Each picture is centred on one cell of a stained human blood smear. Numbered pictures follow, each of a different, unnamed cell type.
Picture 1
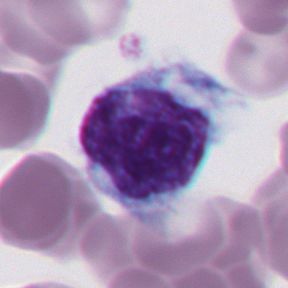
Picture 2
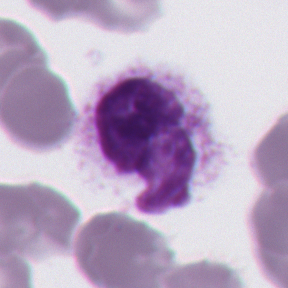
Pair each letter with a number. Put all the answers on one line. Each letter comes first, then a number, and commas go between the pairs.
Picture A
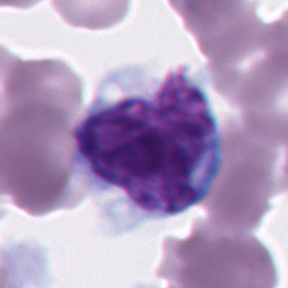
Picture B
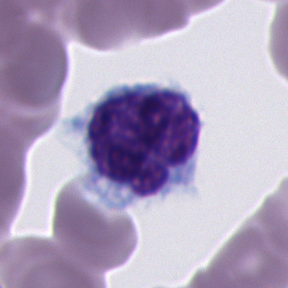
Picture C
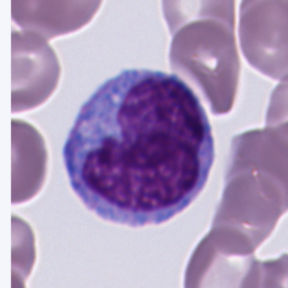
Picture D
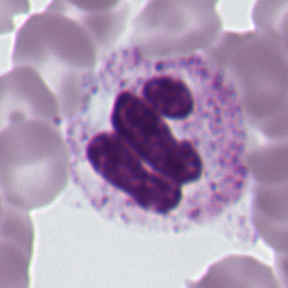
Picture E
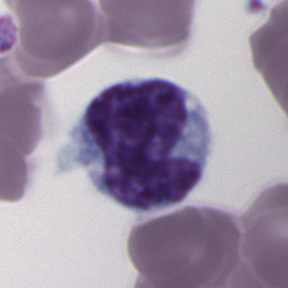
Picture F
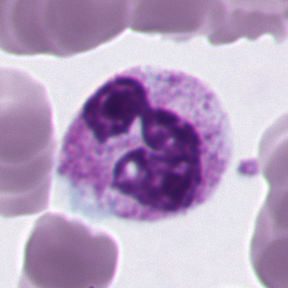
A 1, B 1, C 1, D 2, E 1, F 2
